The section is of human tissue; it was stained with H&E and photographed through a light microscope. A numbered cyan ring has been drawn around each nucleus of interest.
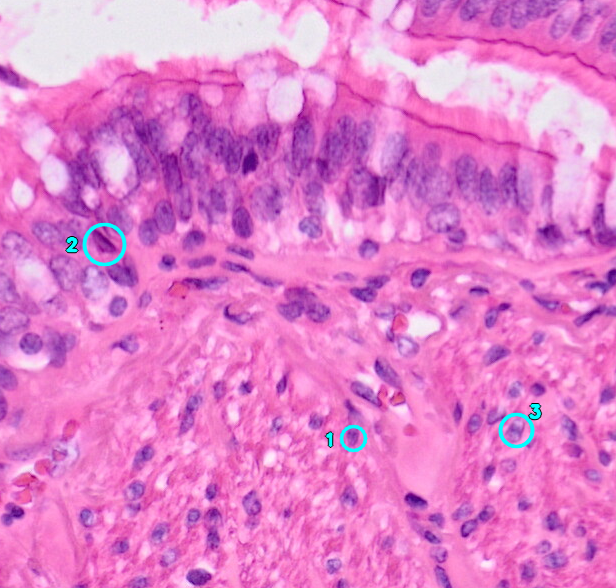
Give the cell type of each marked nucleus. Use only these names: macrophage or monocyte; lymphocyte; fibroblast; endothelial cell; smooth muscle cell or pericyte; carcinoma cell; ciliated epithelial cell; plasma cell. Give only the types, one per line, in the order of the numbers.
smooth muscle cell or pericyte
ciliated epithelial cell
smooth muscle cell or pericyte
